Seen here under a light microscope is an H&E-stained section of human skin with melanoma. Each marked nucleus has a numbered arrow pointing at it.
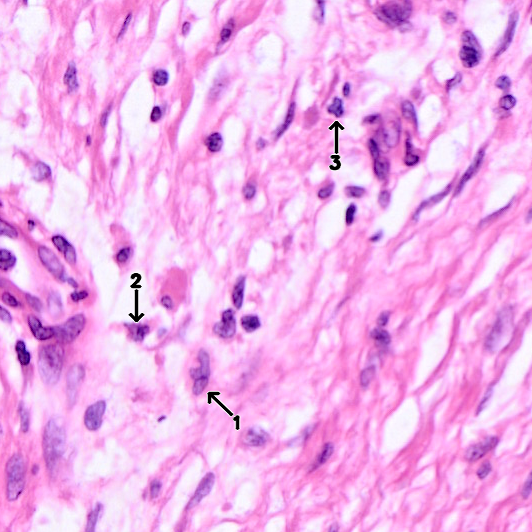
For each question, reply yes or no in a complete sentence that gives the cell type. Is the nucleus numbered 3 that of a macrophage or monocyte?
No, what number 3 shows is a lymphocyte, not a macrophage or monocyte.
